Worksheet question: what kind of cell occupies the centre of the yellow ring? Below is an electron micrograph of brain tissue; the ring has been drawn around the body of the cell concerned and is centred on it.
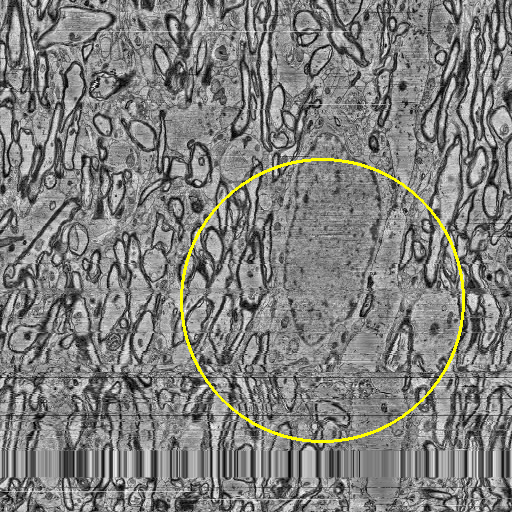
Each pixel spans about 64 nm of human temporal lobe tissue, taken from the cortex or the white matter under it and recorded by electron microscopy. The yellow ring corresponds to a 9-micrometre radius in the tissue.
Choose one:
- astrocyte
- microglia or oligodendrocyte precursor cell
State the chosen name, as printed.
astrocyte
